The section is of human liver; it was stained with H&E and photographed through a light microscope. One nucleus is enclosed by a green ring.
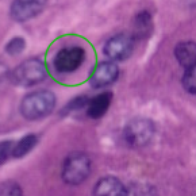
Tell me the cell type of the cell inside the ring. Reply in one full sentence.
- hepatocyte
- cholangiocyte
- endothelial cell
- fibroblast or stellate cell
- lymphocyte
It is a cholangiocyte that the cell inside the ring represents.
